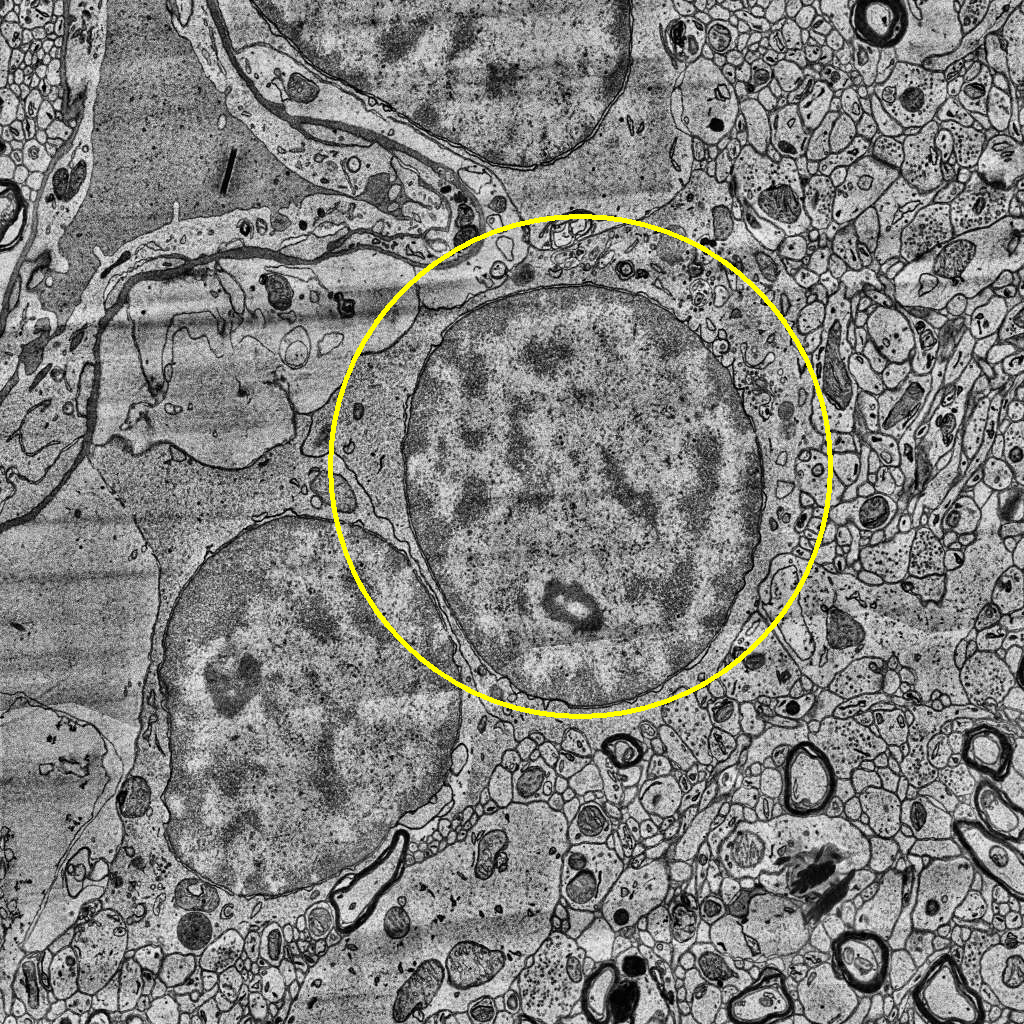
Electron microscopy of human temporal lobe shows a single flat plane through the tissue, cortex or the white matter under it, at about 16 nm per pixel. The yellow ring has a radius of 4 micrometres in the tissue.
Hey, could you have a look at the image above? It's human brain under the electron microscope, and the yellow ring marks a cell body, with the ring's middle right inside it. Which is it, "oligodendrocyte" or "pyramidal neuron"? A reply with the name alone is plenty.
oligodendrocyte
